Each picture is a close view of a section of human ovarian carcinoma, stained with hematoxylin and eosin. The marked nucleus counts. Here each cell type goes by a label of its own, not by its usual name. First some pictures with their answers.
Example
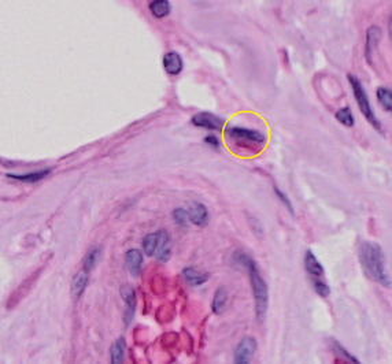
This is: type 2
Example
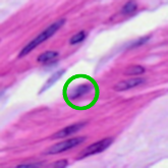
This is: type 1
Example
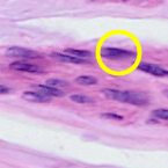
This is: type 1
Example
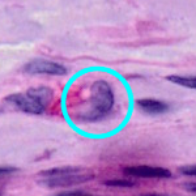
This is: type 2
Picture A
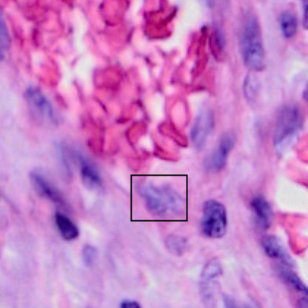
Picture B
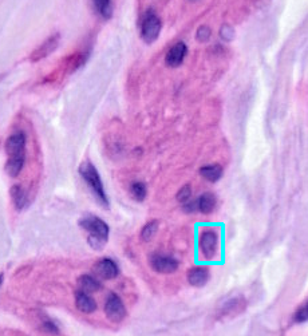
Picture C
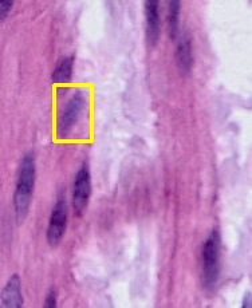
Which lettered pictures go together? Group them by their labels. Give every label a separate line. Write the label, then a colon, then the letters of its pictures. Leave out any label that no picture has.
type 2: A
type 1: B, C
